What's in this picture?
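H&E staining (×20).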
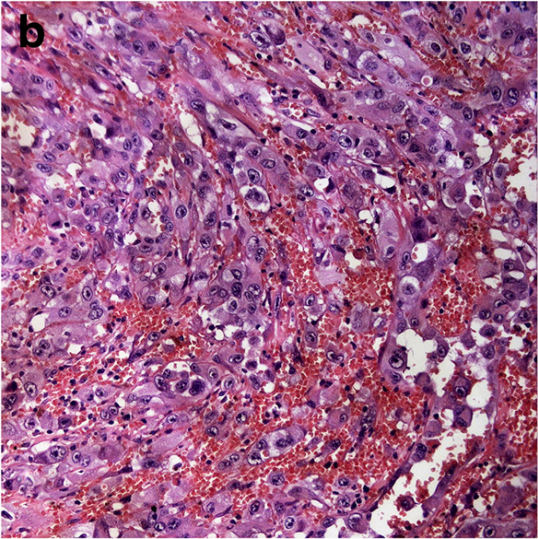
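Malignant tumor of large epithelioid cells forming irregular vascular spaces. The cells are plump and polygonal, with abundant pink to purplish cytoplasm, arranged in cords and sheets that line and separate slit-like and irregular channels packed with red blood cells. Nuclei are large, round to oval and vesicular, varying markedly in size and shape, many with prominent nucleoli. Some cells are vacuolated or detached into the blood-filled spaces. Small dark nuclei of scattered inflammatory cells lie among the tumor cells. No normal organ structure is seen.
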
